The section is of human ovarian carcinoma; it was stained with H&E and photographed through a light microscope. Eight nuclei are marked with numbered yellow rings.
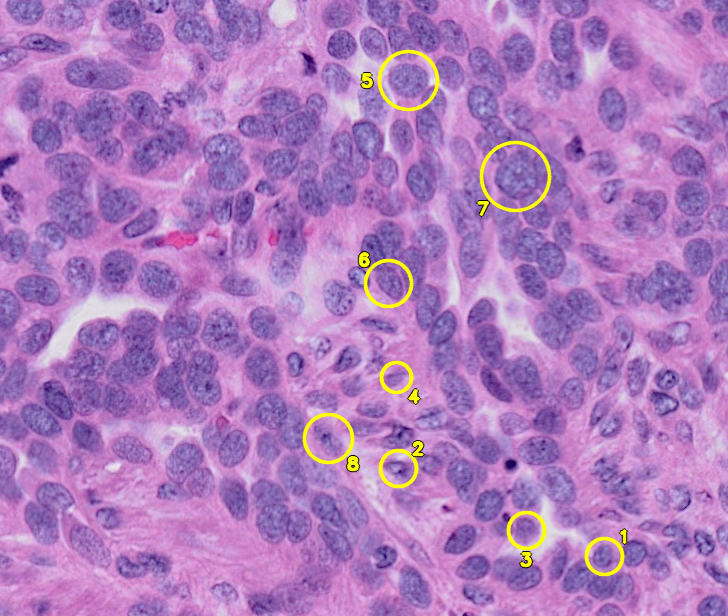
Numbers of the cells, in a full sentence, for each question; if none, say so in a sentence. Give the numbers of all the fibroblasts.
The cells with the numbers 2, 4 and 8 are fibroblasts.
